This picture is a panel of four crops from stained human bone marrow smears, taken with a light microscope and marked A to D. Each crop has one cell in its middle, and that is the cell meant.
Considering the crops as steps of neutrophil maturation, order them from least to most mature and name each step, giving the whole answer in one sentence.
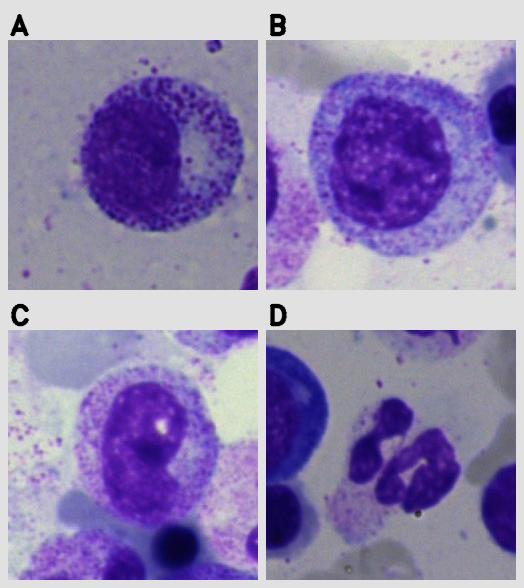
Ordering these by maturity, least mature first, yields crop B (a promyelocyte), crop A (a myelocyte), crop C (a metamyelocyte) and crop D (a segmented neutrophil).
